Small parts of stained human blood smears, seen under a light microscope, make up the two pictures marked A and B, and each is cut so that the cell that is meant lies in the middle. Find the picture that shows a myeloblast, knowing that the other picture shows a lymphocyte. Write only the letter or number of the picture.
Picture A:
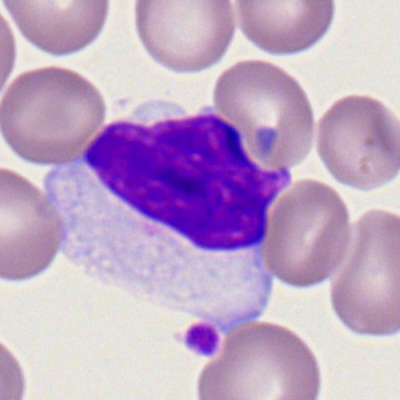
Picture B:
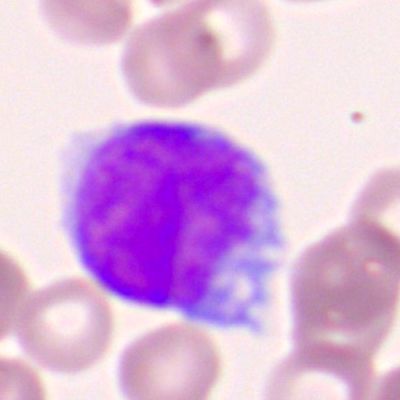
B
